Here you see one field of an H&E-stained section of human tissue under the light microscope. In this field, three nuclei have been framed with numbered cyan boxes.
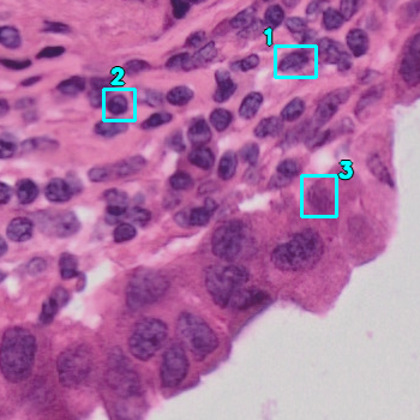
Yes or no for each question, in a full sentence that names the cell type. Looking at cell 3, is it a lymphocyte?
No, cell 3 should be classed as a carcinoma cell, not as a lymphocyte.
